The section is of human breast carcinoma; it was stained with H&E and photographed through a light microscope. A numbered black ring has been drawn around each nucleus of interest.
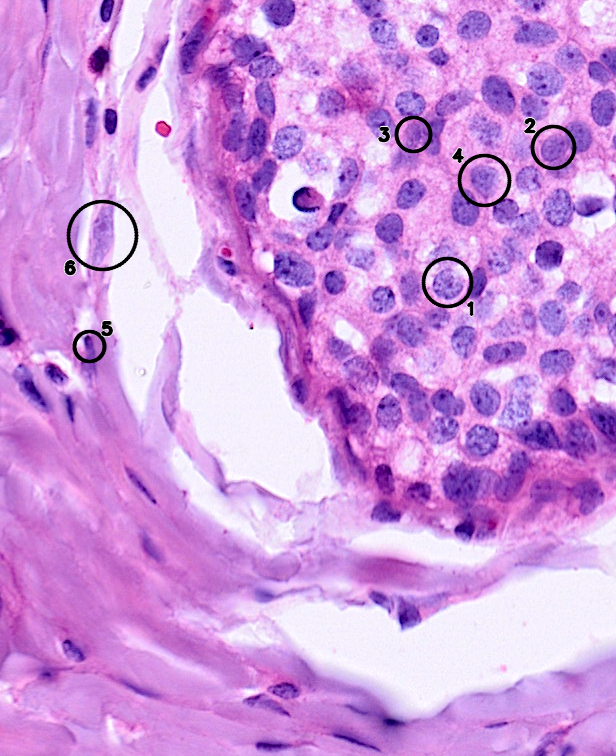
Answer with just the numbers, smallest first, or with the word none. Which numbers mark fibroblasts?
5, 6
